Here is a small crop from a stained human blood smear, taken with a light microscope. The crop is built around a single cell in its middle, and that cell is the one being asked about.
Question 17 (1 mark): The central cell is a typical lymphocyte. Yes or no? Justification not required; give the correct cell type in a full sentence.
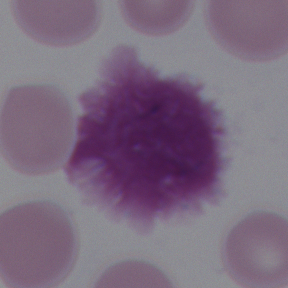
No, the central cell is not a typical lymphocyte; it is a smudge cell.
